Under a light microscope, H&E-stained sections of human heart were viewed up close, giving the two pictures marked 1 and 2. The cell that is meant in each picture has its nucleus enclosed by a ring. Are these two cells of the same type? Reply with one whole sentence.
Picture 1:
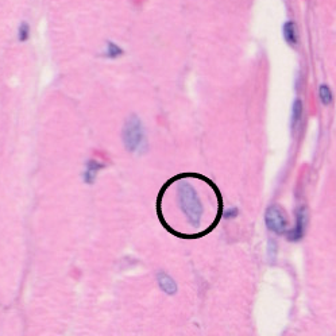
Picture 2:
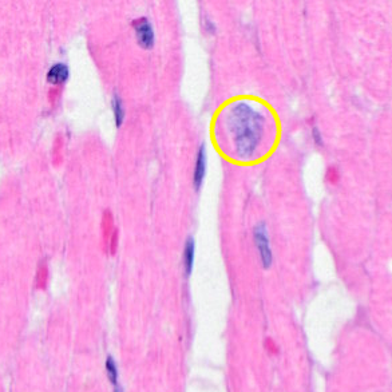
Yes, both cells are cardiomyocytes.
